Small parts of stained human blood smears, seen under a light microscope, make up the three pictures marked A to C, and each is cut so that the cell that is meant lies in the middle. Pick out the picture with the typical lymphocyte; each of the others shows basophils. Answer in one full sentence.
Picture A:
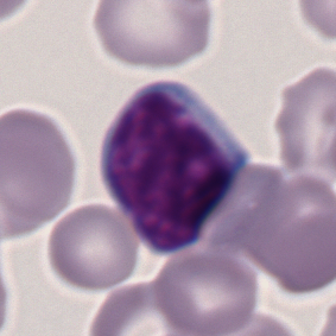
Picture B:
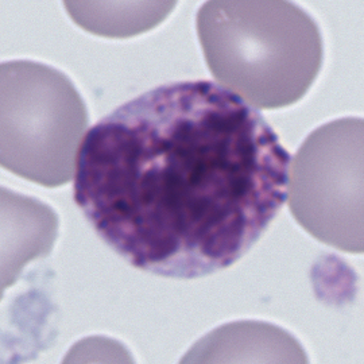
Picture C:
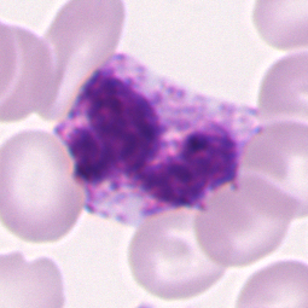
Picture A is the one that shows the typical lymphocyte.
